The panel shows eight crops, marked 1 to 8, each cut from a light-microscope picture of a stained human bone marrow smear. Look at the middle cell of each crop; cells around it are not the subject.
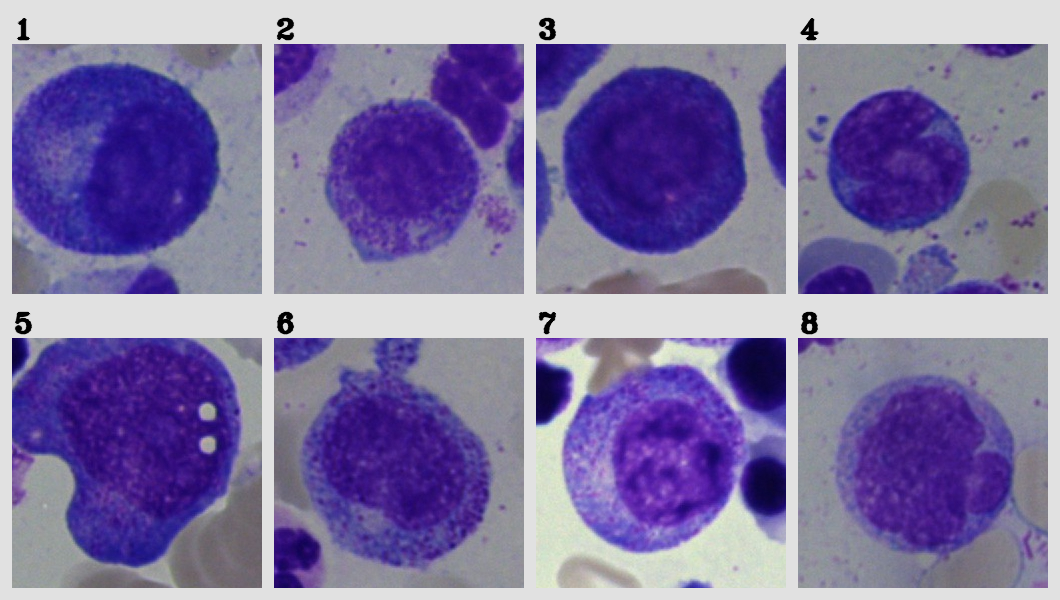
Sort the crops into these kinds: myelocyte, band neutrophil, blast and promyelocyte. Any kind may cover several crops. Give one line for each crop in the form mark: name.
1: promyelocyte
2: myelocyte
3: promyelocyte
4: blast
5: promyelocyte
6: promyelocyte
7: promyelocyte
8: blast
